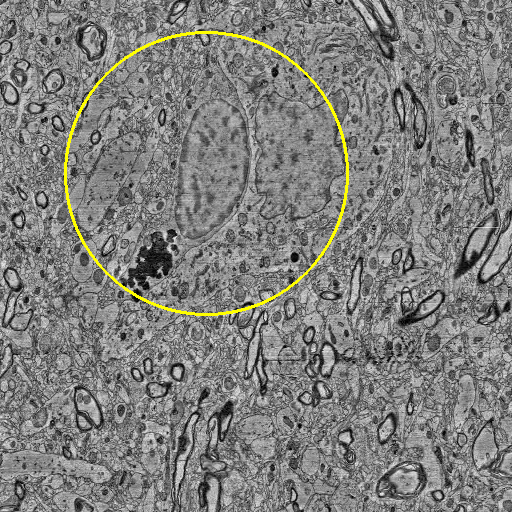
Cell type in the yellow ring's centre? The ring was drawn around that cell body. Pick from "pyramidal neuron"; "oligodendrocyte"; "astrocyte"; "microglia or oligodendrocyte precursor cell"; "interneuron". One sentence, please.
The ringed cell body is that of an oligodendrocyte.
